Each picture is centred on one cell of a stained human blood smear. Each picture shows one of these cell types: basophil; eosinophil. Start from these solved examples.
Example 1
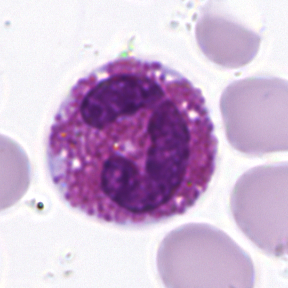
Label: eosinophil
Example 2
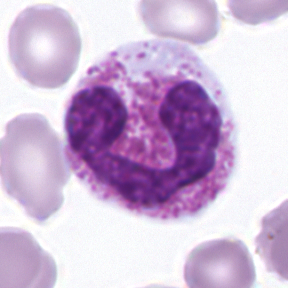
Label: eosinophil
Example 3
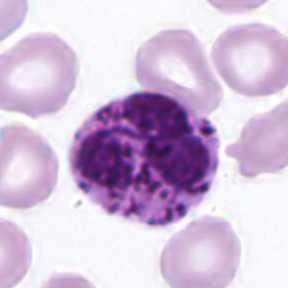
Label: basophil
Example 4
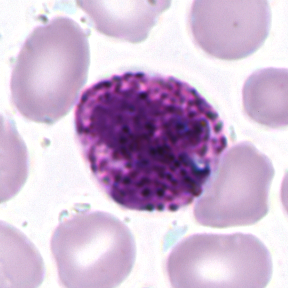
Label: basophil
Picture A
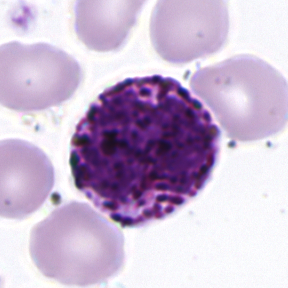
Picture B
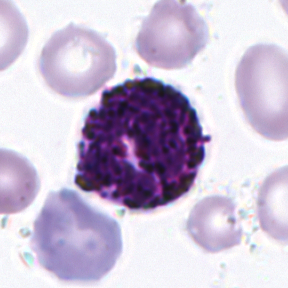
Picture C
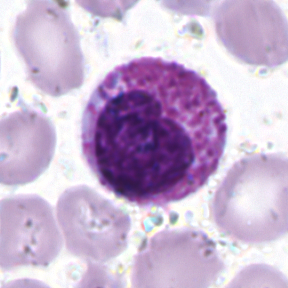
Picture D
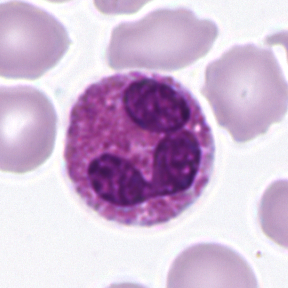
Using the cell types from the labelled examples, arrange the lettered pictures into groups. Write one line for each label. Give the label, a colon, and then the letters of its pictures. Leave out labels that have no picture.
basophil: A, B
eosinophil: C, D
